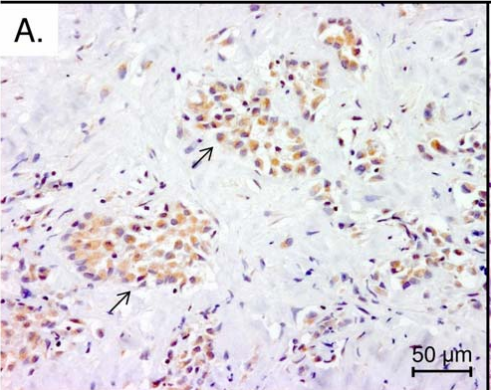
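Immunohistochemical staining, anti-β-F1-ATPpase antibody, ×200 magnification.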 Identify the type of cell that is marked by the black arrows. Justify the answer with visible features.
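Arrows point to tight clusters of polygonal cells. The clustered cells have round nuclei and brown-stained cytoplasm. The clusters lie within pale fibrous stroma with scattered spindle-shaped nuclei. The answer: tumour cells.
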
